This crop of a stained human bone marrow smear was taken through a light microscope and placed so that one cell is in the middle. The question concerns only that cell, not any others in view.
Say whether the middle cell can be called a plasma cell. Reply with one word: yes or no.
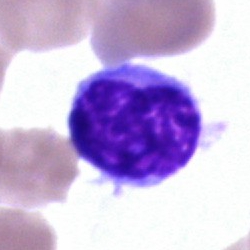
no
